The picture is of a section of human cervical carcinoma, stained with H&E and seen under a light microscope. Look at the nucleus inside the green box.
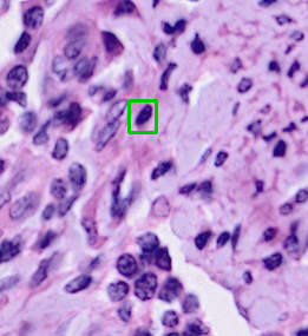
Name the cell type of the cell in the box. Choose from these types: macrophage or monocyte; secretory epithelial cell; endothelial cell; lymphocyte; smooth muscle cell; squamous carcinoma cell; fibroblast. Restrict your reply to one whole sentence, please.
With respect to cell type, the cell in the box is a lymphocyte.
